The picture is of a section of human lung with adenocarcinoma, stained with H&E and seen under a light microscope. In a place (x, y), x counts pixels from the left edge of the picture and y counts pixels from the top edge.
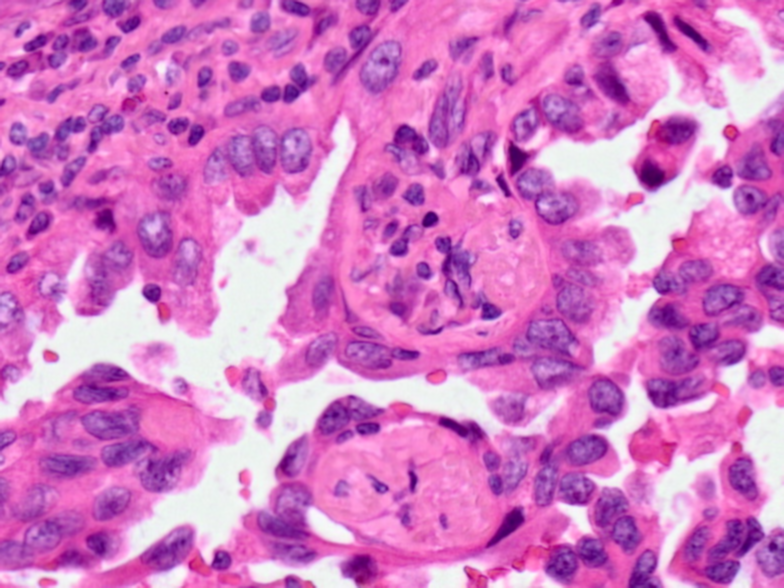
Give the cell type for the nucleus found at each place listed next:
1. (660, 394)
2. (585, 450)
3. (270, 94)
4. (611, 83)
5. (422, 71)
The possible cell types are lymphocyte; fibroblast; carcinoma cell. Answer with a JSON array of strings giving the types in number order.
["carcinoma cell", "carcinoma cell", "lymphocyte", "carcinoma cell", "lymphocyte"]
